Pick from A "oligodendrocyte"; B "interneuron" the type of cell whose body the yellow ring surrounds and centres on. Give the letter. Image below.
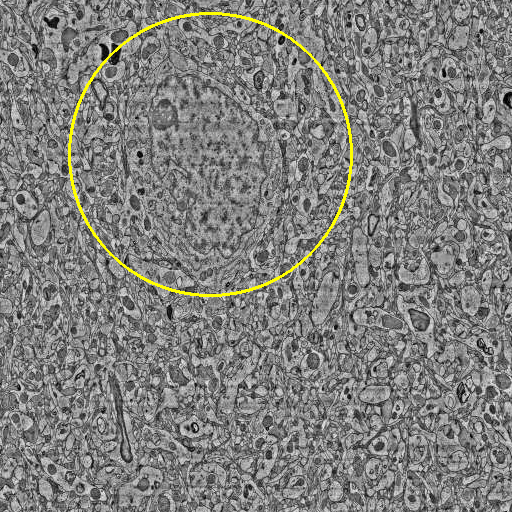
B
